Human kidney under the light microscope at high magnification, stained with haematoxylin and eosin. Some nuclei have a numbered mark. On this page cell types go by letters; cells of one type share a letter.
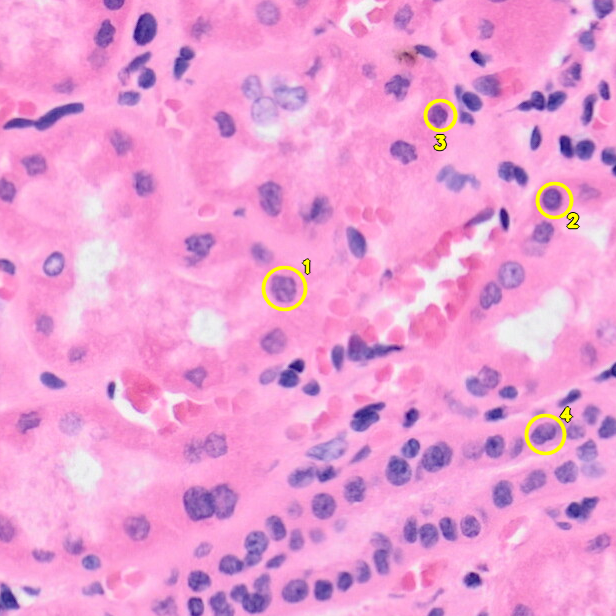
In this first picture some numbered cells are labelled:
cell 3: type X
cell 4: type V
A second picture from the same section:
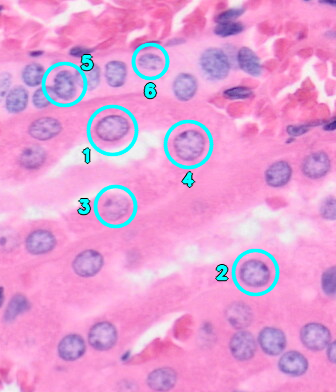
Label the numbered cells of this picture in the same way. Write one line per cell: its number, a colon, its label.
1: type X
2: type X
3: type X
4: type X
5: type V
6: type V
